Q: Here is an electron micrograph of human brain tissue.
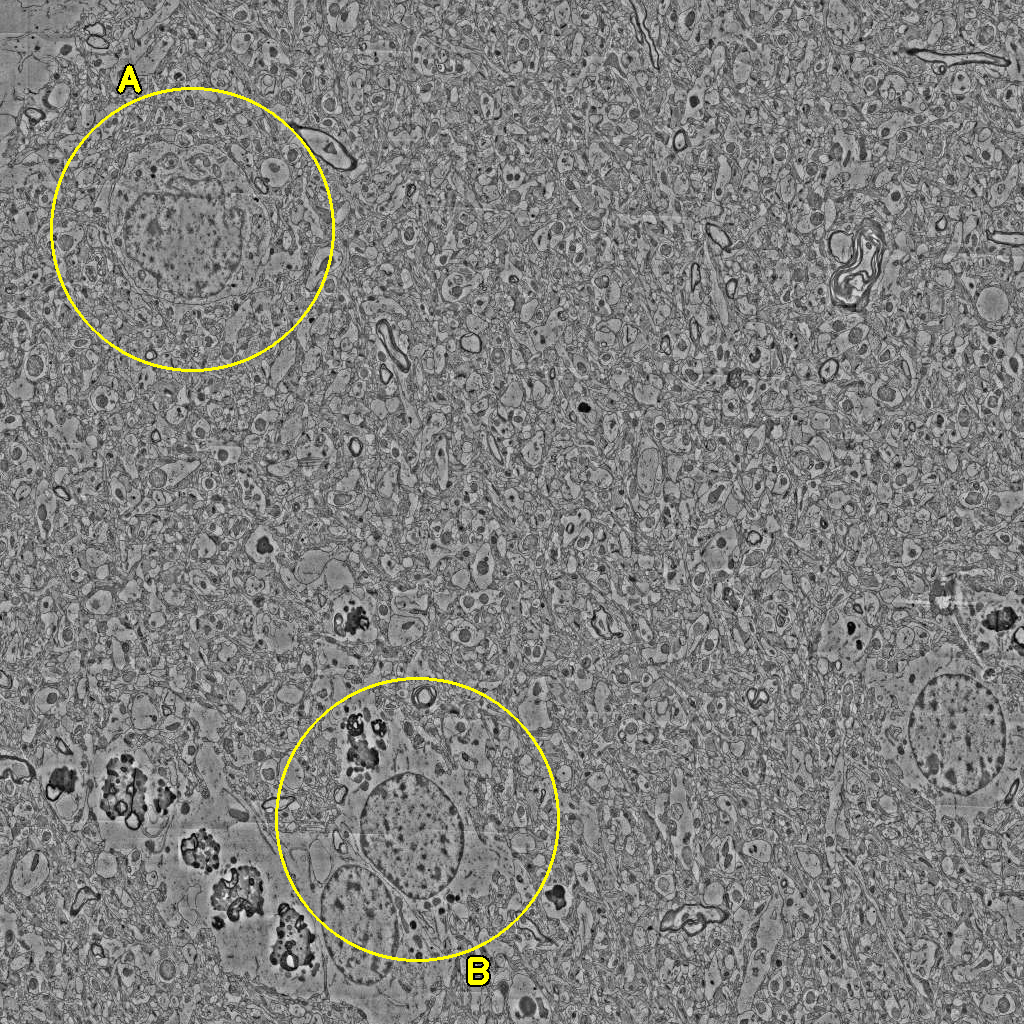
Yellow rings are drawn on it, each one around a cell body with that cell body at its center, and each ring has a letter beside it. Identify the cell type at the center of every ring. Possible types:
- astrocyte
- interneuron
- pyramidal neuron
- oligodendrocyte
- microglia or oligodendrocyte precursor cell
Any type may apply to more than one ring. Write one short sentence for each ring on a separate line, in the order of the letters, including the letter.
Centered in ring A is an interneuron.
Centered in ring B is an astrocyte.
